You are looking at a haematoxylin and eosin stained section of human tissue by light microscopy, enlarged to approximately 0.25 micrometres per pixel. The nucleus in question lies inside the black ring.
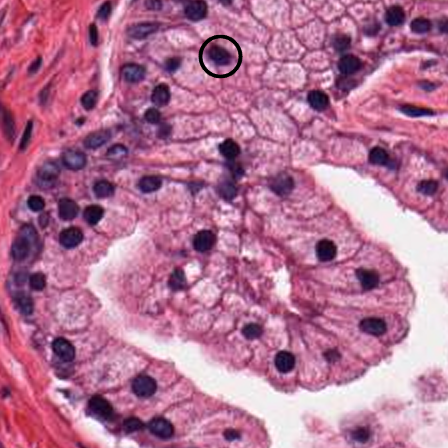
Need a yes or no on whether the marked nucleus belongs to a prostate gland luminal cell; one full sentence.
Yes, the marked nucleus is part of a prostate gland luminal cell.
